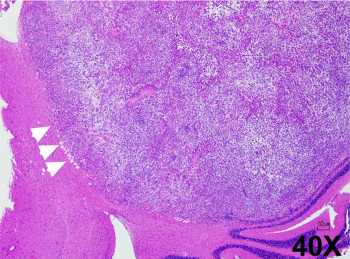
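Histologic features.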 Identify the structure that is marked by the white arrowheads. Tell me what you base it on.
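Clear demarcating border between tumor and parenchyma. A sharp line separates the dense purple tumor from the pink tissue beside it. The tumor edge is smooth without cell nodules beyond it.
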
